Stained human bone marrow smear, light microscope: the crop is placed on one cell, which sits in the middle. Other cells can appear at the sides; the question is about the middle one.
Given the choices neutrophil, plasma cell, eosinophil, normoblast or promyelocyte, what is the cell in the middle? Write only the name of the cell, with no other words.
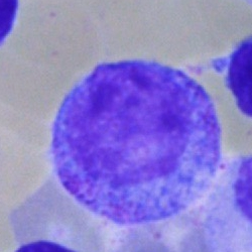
promyelocyte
